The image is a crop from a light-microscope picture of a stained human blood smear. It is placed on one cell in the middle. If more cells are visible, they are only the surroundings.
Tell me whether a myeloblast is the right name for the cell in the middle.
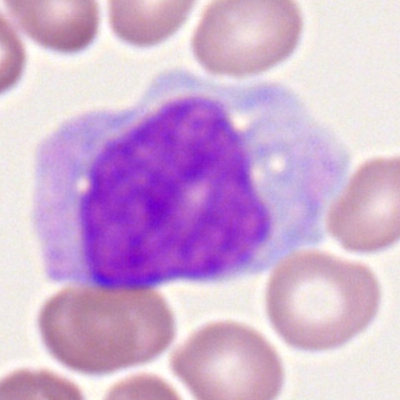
no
